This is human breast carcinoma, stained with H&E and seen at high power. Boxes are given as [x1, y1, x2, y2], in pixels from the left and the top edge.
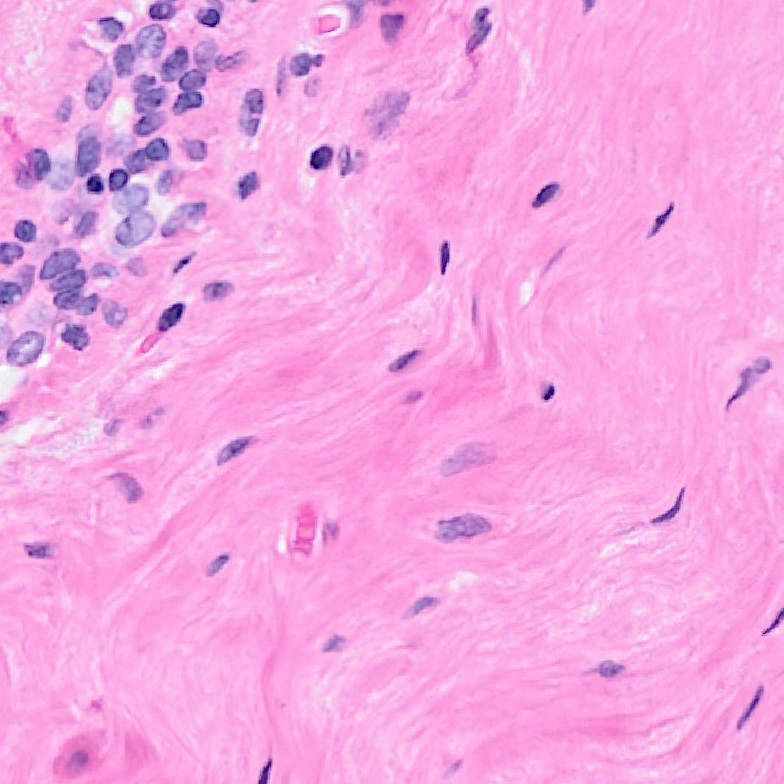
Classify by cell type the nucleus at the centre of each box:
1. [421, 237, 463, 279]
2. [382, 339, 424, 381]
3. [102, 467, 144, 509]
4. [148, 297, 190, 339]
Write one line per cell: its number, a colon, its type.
1: fibroblast
2: fibroblast
3: fibroblast
4: lymphocyte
